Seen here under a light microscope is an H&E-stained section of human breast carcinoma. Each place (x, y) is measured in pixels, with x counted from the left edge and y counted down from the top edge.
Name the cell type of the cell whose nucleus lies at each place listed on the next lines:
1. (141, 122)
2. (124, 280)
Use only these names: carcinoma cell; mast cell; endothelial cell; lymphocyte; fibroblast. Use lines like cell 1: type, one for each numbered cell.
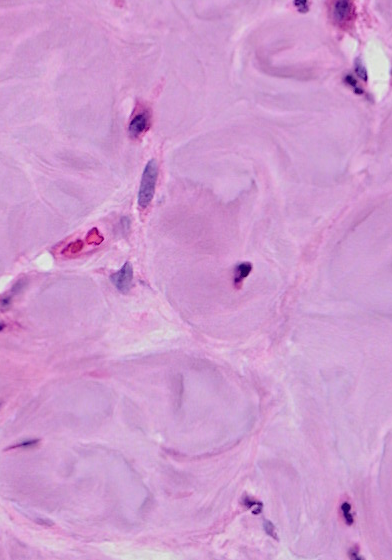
cell 1: mast cell
cell 2: fibroblast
